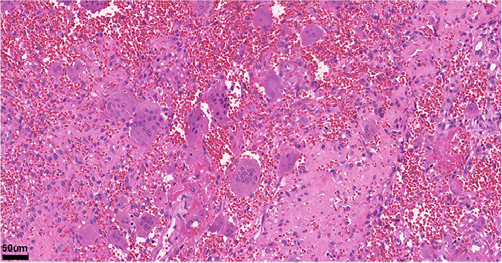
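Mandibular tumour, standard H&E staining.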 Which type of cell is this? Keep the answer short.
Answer: Giant cells.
